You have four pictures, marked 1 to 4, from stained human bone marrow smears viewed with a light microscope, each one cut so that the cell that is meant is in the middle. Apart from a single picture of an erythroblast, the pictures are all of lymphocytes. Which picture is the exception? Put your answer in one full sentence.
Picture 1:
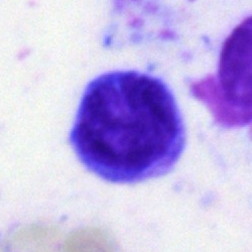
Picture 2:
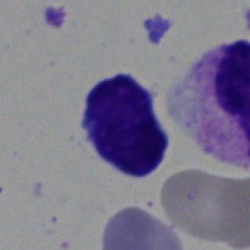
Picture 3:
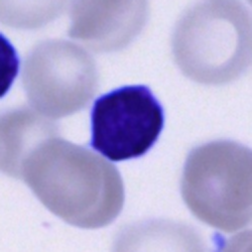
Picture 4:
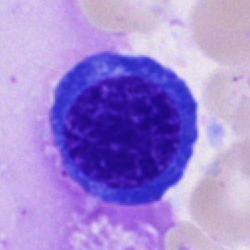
Picture 4 is the one that shows the erythroblast.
